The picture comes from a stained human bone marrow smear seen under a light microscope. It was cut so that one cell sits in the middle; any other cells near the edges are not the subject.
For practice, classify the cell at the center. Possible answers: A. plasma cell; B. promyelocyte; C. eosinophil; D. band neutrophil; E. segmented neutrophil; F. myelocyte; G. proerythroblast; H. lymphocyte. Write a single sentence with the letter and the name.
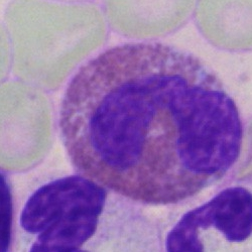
The one to choose is option C, as the cell in the middle is an eosinophil.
